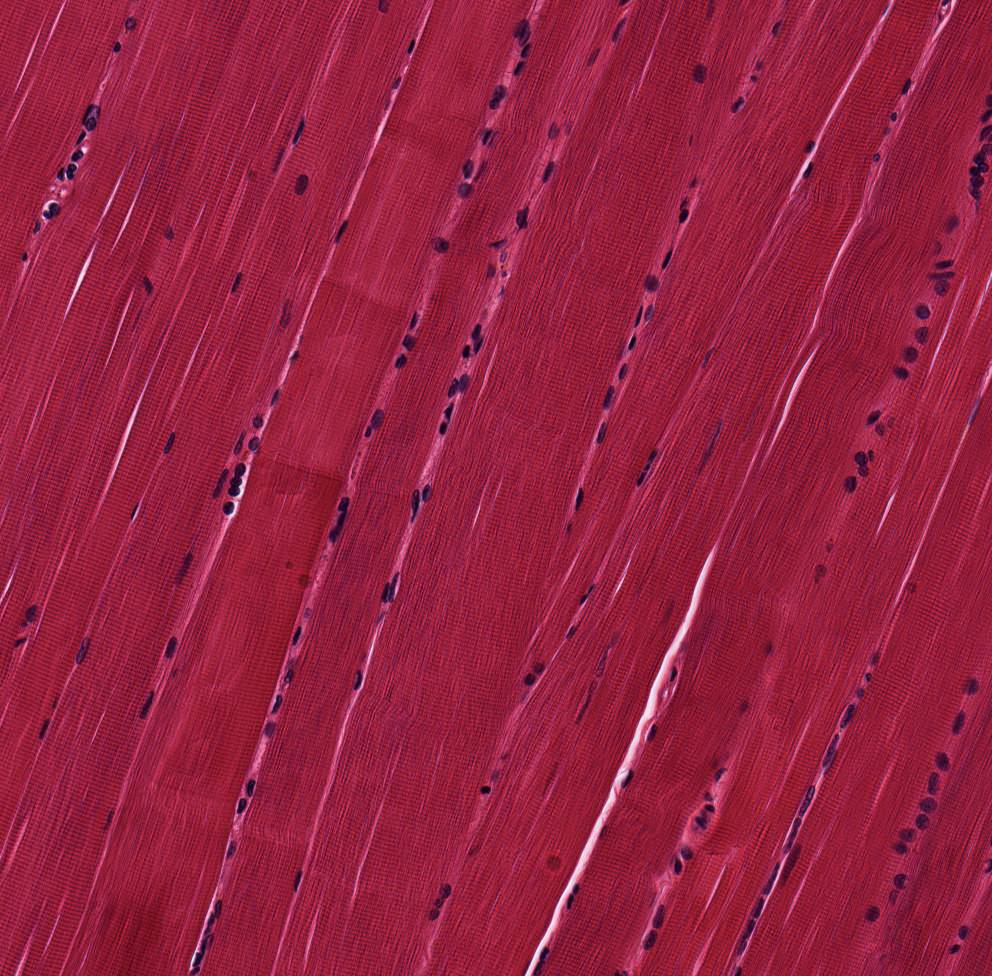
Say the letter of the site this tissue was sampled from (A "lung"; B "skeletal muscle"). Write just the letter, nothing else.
B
